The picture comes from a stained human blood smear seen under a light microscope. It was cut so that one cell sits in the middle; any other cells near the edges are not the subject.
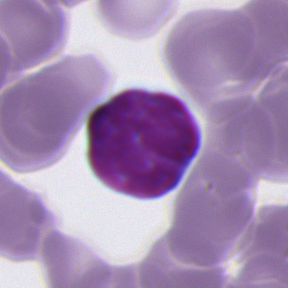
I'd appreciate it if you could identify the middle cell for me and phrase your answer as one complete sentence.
The cell positioned in the middle of the field is a typical lymphocyte.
